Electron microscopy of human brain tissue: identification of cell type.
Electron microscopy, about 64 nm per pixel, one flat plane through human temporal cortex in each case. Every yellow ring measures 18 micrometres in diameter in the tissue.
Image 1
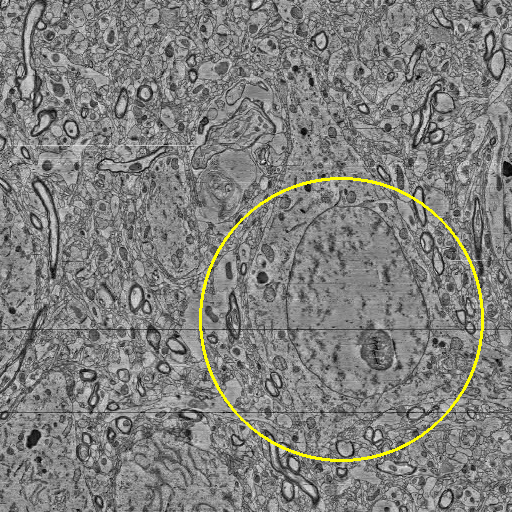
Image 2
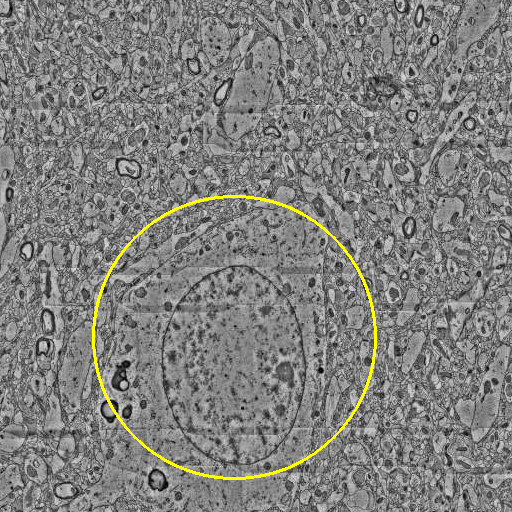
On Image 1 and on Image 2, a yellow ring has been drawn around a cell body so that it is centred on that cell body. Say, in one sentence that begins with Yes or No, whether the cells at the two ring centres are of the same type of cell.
Yes, both cells are the same type of cell.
